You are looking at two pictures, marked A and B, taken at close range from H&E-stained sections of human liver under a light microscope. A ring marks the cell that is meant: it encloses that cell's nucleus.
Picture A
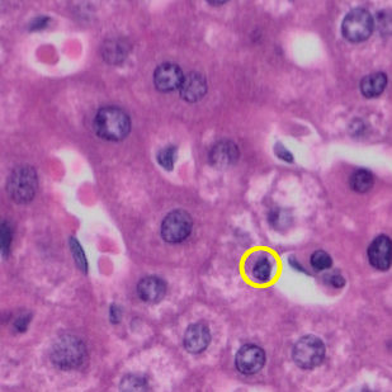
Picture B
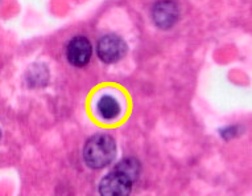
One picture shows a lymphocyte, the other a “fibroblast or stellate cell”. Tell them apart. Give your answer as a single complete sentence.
It is picture A that shows a “fibroblast or stellate cell”, and picture B that shows a lymphocyte.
